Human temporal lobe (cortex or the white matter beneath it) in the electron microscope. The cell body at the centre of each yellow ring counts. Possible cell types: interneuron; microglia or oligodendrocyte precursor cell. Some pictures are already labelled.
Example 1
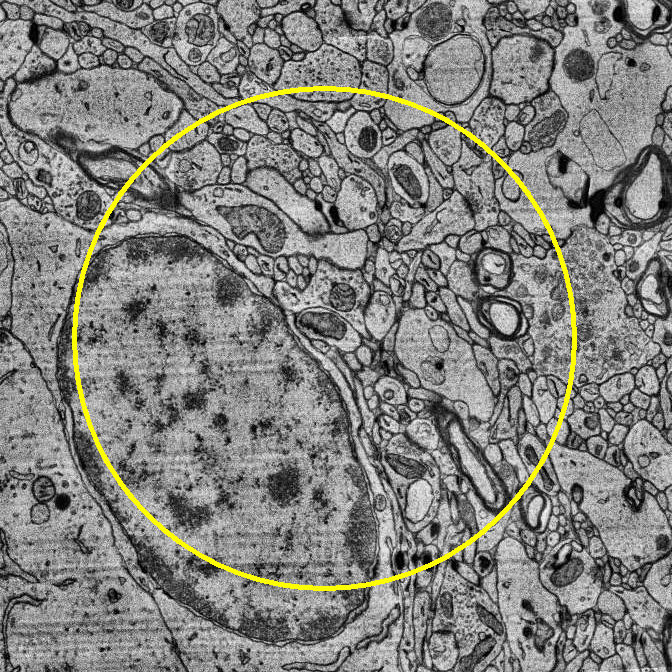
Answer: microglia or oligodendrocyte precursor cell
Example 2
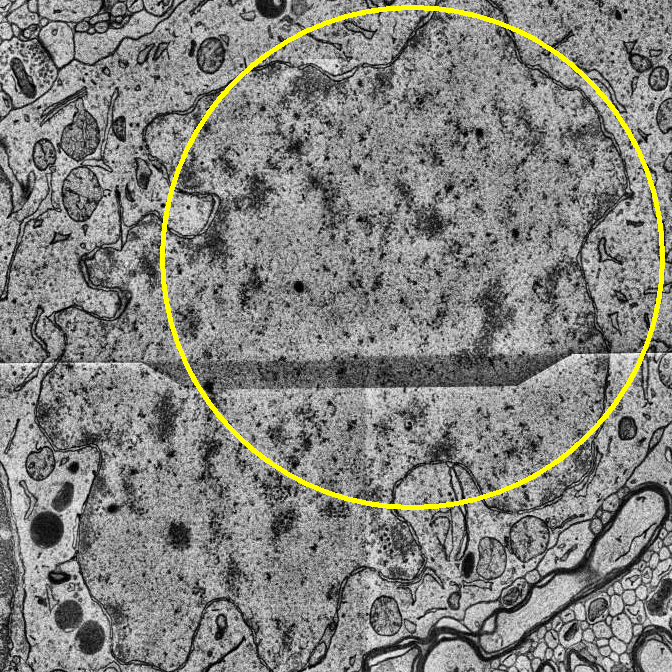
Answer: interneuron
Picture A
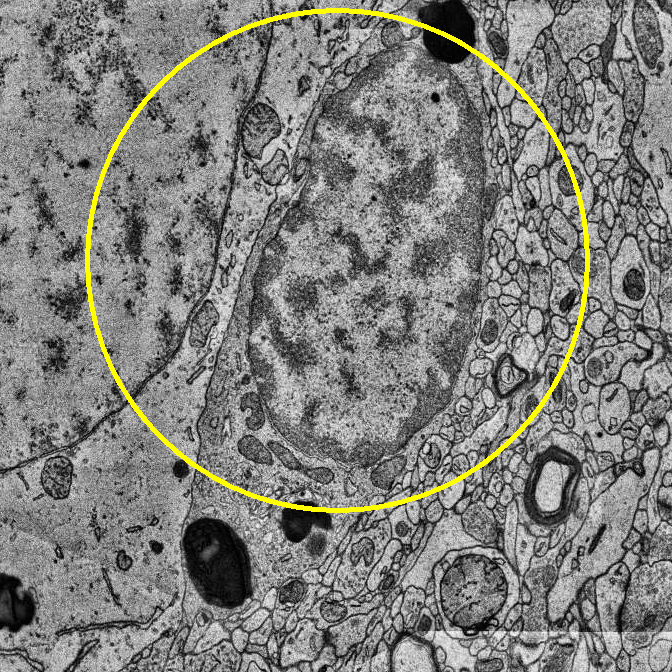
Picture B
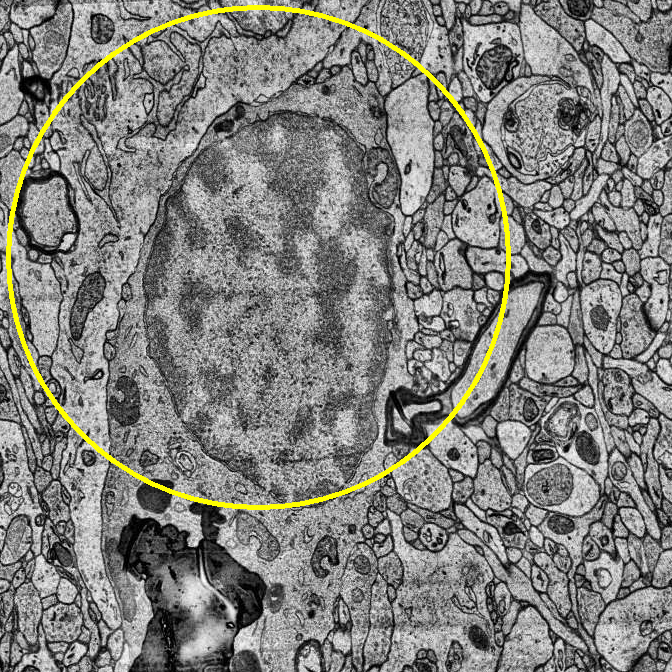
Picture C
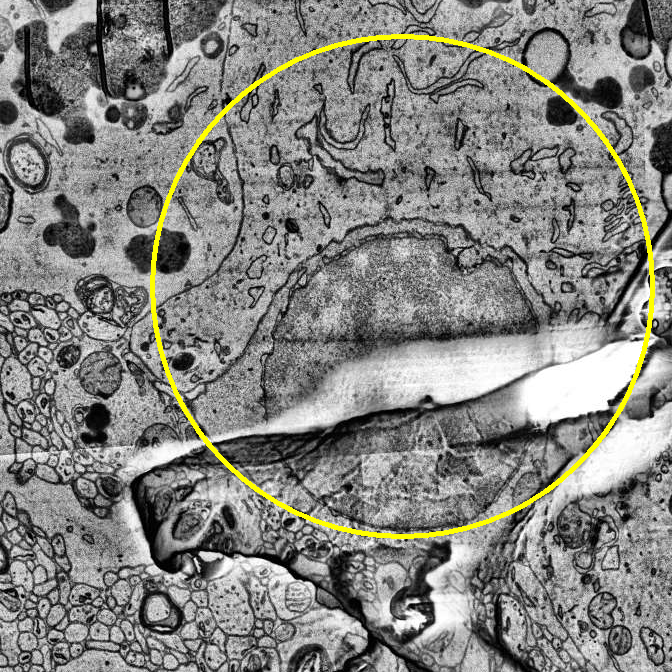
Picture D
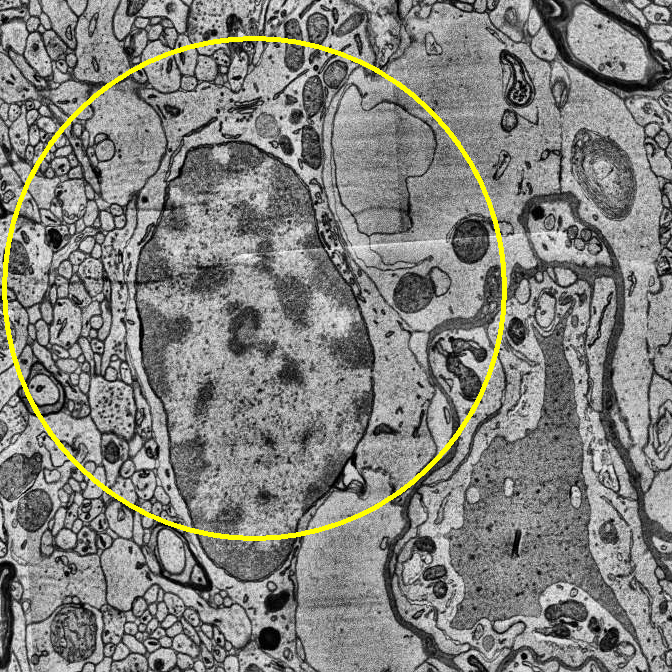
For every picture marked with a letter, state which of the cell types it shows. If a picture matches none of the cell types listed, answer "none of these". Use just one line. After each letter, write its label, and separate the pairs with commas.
A none of these, B none of these, C none of these, D microglia or oligodendrocyte precursor cell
